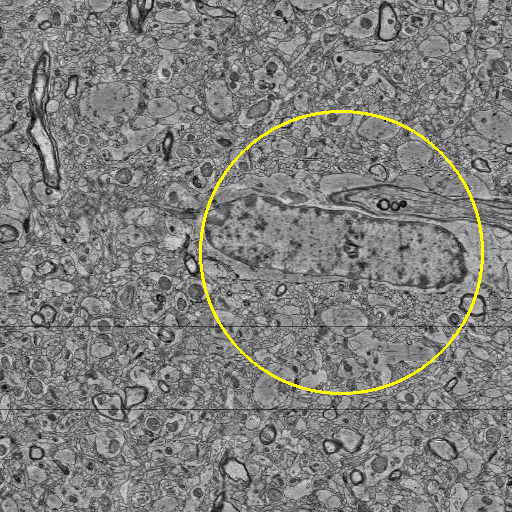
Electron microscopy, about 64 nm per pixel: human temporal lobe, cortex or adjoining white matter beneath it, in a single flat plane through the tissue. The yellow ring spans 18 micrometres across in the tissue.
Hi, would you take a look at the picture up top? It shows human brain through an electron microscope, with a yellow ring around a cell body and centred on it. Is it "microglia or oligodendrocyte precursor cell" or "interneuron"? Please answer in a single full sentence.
The best fit for the cell in the middle of the ring is a microglial cell or oligodendrocyte precursor cell, I reckon.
